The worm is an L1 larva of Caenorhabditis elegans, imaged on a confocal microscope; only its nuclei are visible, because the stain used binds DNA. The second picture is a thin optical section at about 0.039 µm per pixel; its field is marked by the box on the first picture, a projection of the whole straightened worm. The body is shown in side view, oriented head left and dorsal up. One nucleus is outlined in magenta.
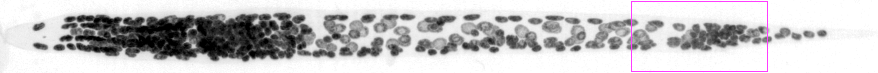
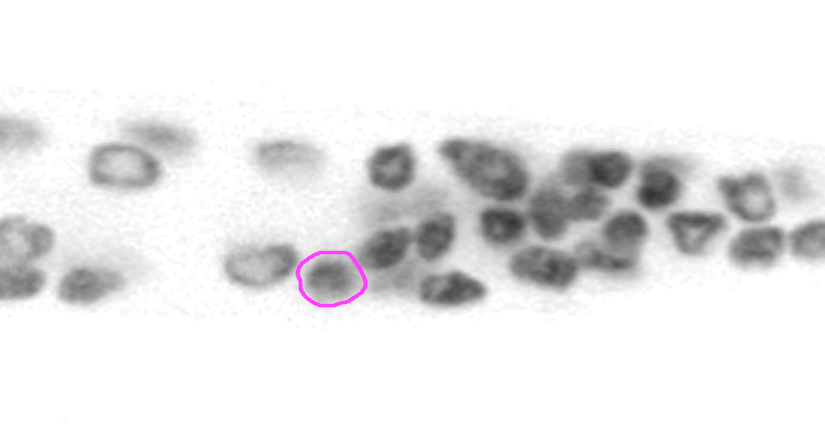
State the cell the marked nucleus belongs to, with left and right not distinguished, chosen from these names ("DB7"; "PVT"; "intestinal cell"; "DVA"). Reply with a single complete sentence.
The marked cell is PVT, a neuron.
